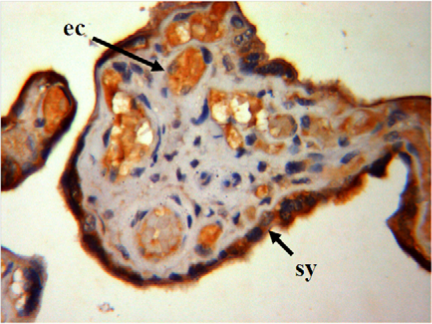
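This is a placental villus cut across, covered on its outside by a continuous syncytiotrophoblast layer that is stained dark brown. Inside, a loose pale stroma holds scattered blue nuclei and several capillaries whose lining endothelial cells and contents also take up brown stain. Red cells are visible within some of the vessels.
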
